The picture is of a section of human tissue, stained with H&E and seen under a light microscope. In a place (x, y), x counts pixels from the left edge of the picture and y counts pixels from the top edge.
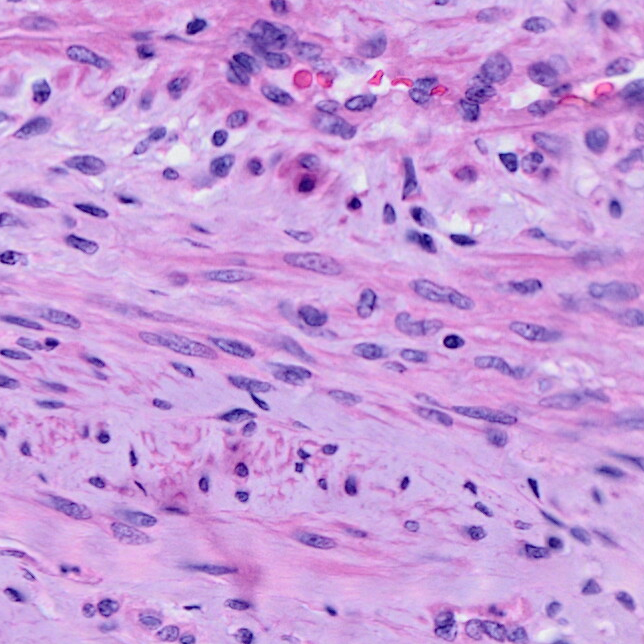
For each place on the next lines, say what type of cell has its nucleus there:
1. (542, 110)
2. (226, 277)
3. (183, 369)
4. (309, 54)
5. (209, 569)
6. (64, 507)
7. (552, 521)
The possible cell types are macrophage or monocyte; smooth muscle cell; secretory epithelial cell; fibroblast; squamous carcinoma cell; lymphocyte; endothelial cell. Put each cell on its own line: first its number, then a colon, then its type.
1: endothelial cell
2: smooth muscle cell
3: smooth muscle cell
4: endothelial cell
5: fibroblast
6: smooth muscle cell
7: fibroblast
